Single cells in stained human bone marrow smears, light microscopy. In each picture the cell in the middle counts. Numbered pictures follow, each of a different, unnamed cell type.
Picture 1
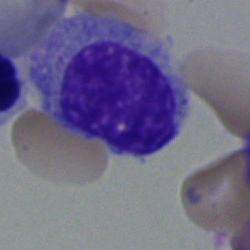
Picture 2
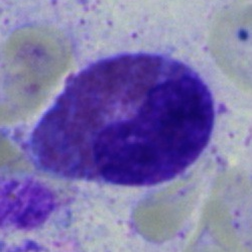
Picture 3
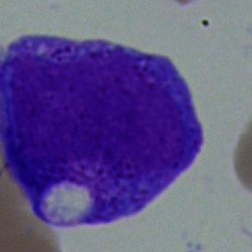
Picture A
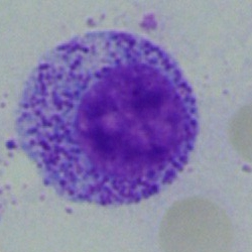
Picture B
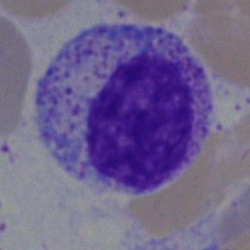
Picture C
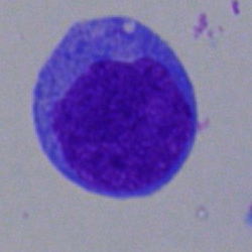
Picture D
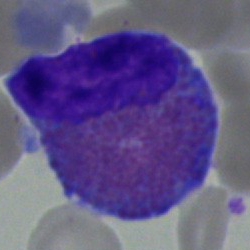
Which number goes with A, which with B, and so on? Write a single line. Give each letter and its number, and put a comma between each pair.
A 1, B 1, C 3, D 2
